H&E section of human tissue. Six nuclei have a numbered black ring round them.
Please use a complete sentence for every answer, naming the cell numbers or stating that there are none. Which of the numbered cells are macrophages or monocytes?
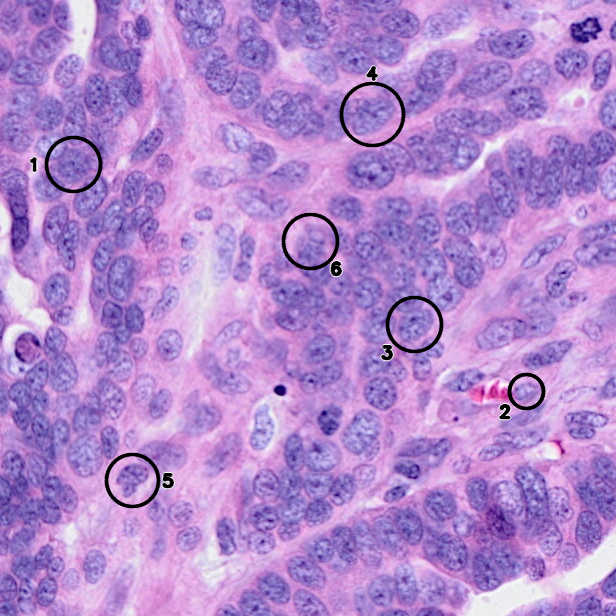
Cell 5 is a macrophage or monocyte, and it is the only one.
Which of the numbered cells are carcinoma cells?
The cells carrying labels 1, 3, 4 and 6 are carcinoma cells.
